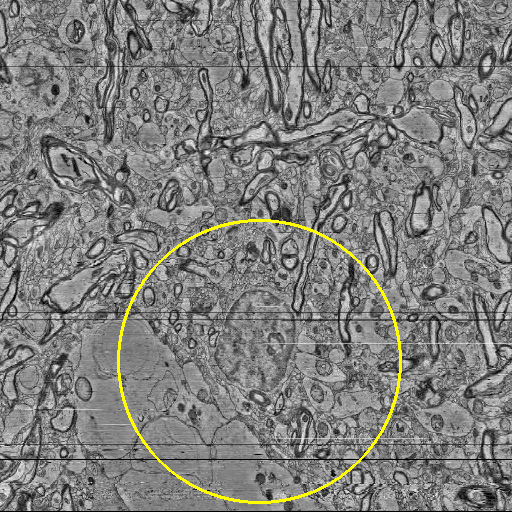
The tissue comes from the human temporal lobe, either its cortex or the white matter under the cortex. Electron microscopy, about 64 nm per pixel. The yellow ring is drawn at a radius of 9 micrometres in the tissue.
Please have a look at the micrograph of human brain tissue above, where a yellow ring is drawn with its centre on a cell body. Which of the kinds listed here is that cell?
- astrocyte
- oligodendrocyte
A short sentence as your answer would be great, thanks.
At the centre of the ring sits an oligodendrocyte.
